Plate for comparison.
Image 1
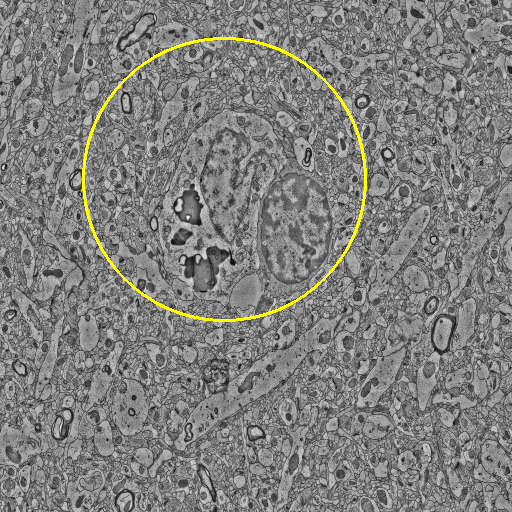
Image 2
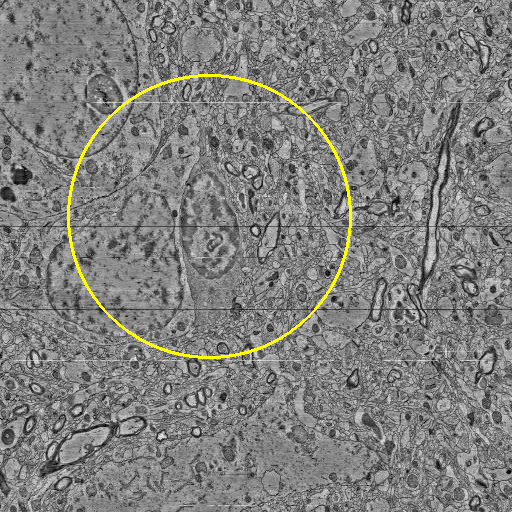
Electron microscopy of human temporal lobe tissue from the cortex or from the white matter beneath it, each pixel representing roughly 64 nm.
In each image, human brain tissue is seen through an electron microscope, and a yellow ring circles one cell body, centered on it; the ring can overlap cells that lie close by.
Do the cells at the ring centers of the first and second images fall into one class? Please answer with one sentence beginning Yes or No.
No, the first and second images show two classes of cell at the ring centers.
